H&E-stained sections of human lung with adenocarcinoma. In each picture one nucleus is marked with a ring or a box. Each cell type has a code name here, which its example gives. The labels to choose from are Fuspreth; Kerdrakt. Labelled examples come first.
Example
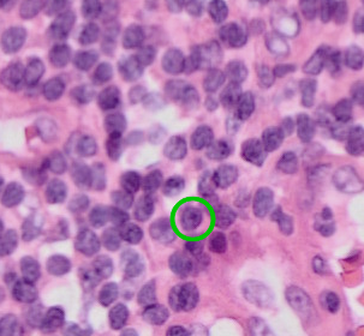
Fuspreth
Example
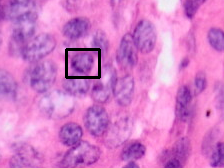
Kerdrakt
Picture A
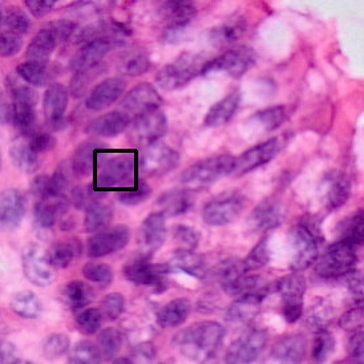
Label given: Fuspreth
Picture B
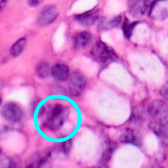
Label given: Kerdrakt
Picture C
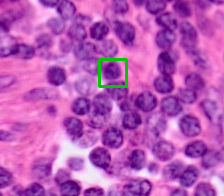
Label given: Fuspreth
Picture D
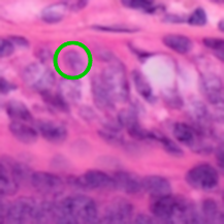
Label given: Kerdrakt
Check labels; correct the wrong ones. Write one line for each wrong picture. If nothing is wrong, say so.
A should be Kerdrakt, not Fuspreth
